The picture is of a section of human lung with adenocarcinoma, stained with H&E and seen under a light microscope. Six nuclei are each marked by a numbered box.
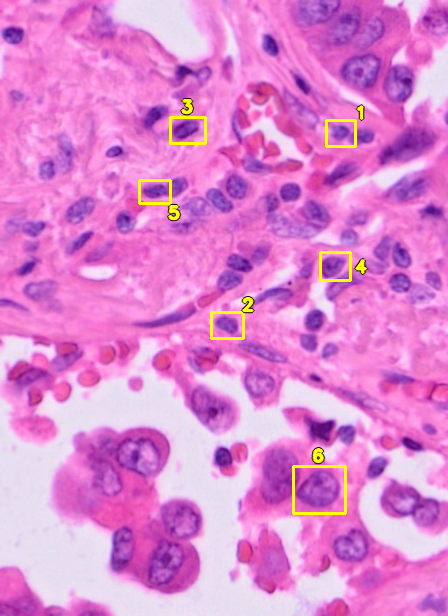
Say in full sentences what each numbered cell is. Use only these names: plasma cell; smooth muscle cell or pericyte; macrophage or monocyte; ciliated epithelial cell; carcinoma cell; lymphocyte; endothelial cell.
Cells 1, 2, 4 and 5 are lymphocytes. Cell 3 is a plasma cell. Cell 6 is a carcinoma cell.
